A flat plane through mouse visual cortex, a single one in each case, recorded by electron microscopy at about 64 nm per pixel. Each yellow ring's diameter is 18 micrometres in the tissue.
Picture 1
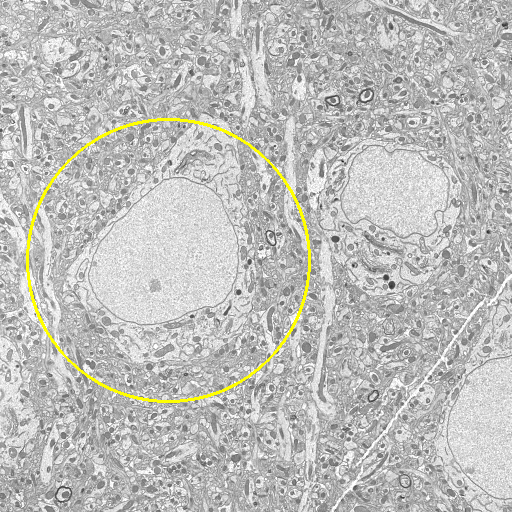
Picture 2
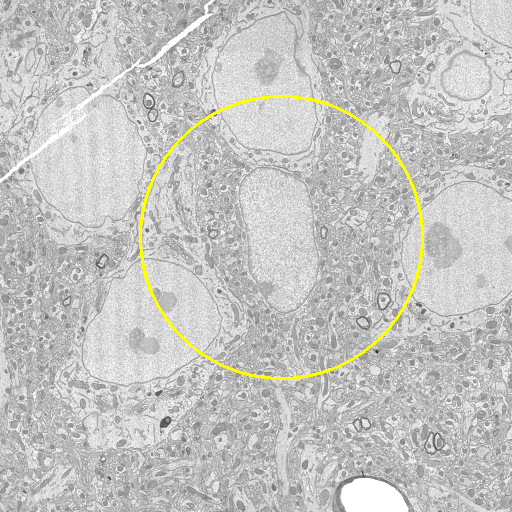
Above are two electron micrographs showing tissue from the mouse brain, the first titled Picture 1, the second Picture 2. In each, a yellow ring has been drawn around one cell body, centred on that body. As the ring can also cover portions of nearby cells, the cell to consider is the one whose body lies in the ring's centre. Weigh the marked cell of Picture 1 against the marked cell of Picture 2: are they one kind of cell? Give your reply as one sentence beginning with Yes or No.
No, the two cells sitting at the ring centres in the pictures are of two kinds.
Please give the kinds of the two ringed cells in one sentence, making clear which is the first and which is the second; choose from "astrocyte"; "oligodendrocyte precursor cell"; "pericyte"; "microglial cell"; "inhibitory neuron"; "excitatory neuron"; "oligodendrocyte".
In the second picture the ringed cell is an astrocyte; in the first it is an excitatory neuron.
